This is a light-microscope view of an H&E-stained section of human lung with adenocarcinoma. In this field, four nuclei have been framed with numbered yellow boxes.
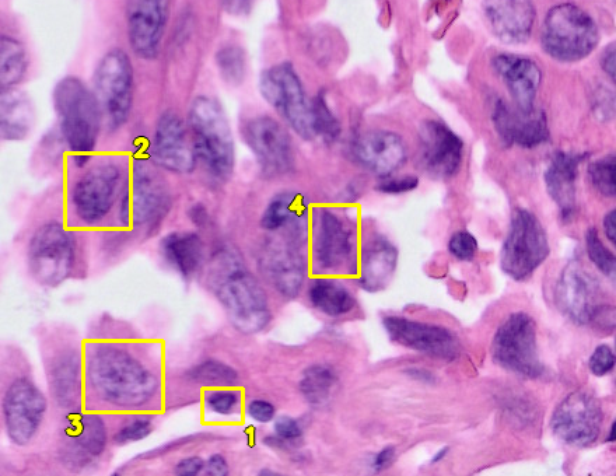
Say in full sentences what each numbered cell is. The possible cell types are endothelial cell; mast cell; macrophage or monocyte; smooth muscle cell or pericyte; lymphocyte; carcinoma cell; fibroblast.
Cell 1 is a lymphocyte, cell 2 is a carcinoma cell, cell 3 is a carcinoma cell and cell 4 is a carcinoma cell.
